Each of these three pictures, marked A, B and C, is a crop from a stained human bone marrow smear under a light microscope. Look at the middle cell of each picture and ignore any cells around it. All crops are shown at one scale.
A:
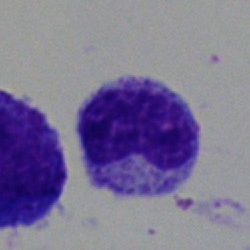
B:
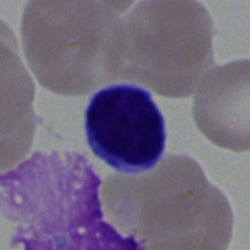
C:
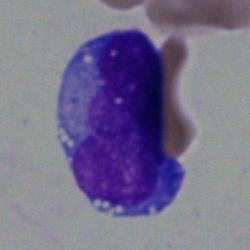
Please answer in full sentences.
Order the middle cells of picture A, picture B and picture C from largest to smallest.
The order is C, A, B, beginning with the largest.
